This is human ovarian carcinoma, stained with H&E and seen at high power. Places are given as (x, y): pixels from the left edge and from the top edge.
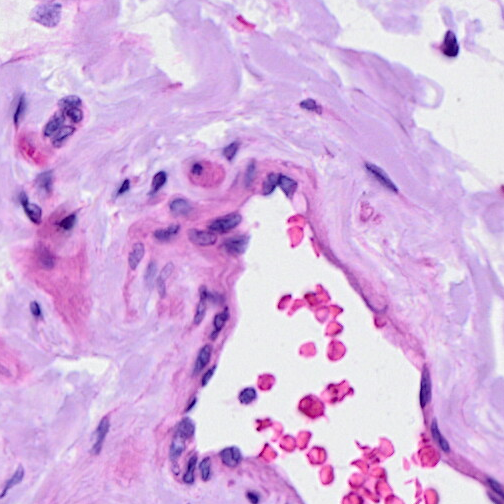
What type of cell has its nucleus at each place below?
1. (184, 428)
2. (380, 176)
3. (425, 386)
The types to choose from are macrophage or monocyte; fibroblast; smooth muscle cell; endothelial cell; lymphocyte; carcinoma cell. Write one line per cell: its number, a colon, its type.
1: endothelial cell
2: fibroblast
3: endothelial cell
